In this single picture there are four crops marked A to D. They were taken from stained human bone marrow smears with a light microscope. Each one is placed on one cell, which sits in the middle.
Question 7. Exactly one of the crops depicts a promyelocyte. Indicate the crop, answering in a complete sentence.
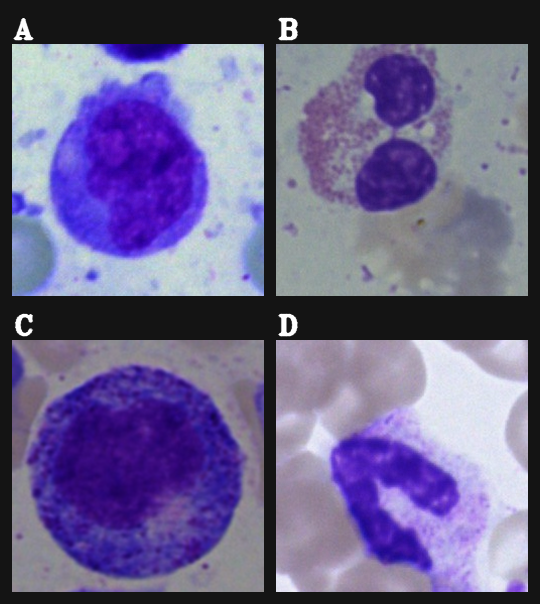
Crop C is the crop that displays a promyelocyte.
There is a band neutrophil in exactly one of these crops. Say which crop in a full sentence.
The crop that shows a band neutrophil is crop D.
